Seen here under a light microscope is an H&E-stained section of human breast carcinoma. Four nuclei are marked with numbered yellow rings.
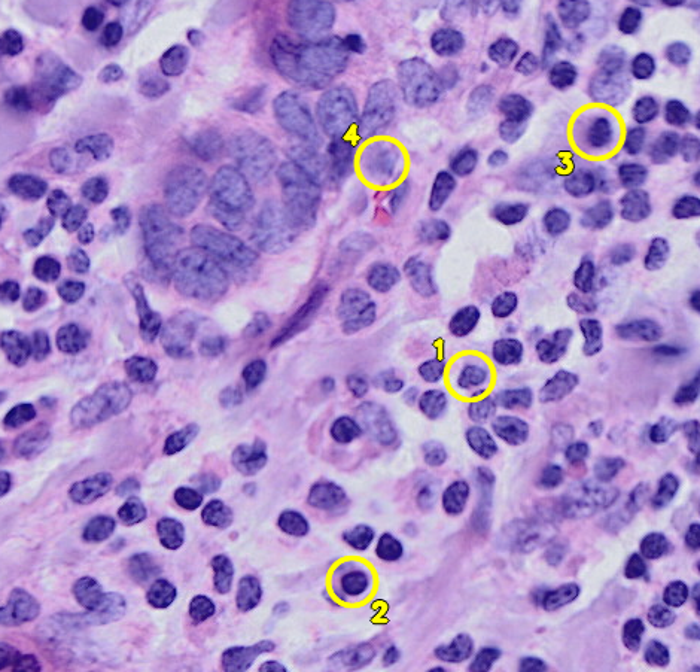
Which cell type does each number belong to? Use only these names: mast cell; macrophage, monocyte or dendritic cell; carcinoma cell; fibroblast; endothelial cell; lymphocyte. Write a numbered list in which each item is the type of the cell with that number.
1. lymphocyte
2. lymphocyte
3. lymphocyte
4. endothelial cell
